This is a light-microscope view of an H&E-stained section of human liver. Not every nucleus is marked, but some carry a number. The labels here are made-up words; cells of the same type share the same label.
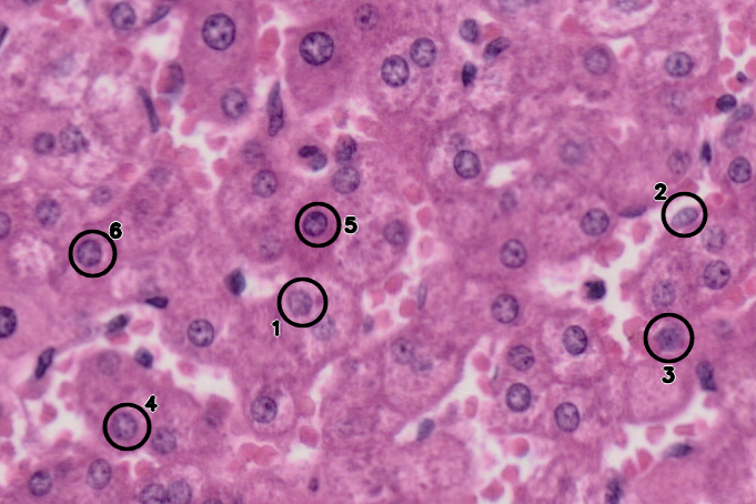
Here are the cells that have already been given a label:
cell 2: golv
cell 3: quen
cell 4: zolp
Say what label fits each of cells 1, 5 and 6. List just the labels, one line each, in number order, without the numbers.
zolp
zolp
zolp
